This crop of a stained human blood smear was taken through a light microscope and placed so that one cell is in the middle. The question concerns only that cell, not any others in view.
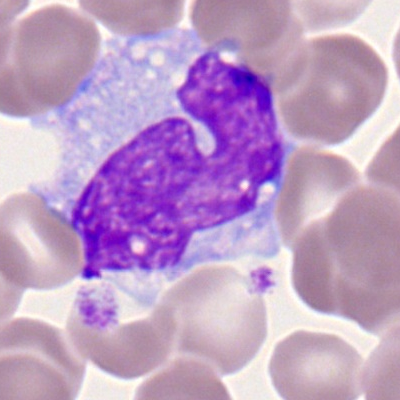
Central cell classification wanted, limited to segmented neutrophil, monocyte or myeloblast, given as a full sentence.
The middle cell in this particular crop is a monocyte.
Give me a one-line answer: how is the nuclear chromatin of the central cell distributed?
The key point is fine chromatin with no coarse clumps.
